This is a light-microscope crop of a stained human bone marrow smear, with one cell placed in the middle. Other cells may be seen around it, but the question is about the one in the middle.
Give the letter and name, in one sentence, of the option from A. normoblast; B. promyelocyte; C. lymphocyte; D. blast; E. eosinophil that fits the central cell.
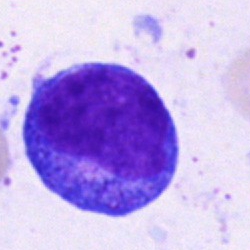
The cell in the centre of the crop is a promyelocyte, so option B is the correct one.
